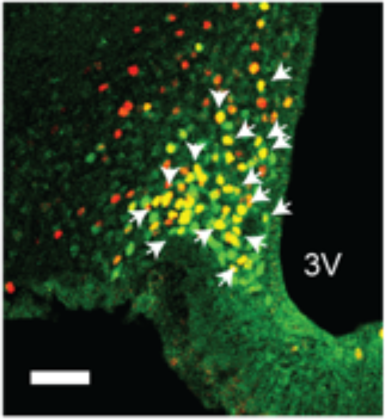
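This is the arcuate nucleus of the hypothalamus at the floor of the third ventricle, where a dense cluster of small, rounded neuronal cell bodies filled with green lies close to the ventricle wall. Many of these green cell bodies also carry red nuclear label and so appear yellow, and white arrows point to several of them. Red-only nuclei are scattered more loosely above and lateral to the cluster.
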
